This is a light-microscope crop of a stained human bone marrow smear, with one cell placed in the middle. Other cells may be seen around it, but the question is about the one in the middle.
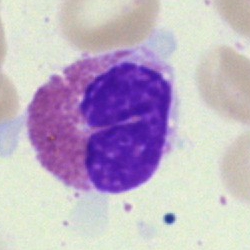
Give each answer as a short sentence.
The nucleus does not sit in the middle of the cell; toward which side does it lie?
The nucleus lies toward the right of the cell.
